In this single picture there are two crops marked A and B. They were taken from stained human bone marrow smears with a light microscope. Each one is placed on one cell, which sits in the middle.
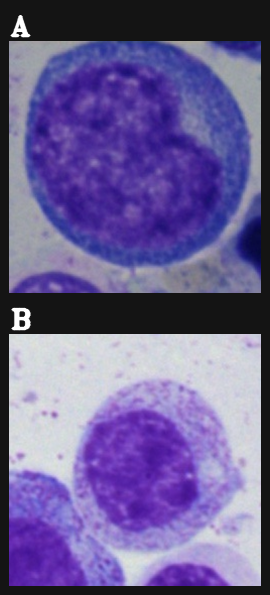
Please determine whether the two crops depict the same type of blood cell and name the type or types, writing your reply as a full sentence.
No, crop A features a promyelocyte, while crop B features a myelocyte.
